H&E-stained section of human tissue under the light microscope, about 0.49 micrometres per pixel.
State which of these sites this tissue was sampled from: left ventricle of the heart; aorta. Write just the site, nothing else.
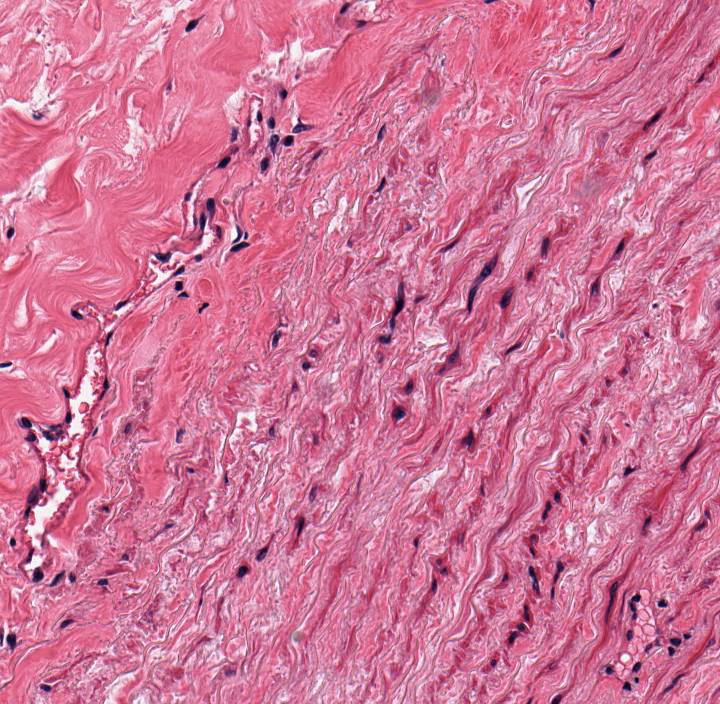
aorta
